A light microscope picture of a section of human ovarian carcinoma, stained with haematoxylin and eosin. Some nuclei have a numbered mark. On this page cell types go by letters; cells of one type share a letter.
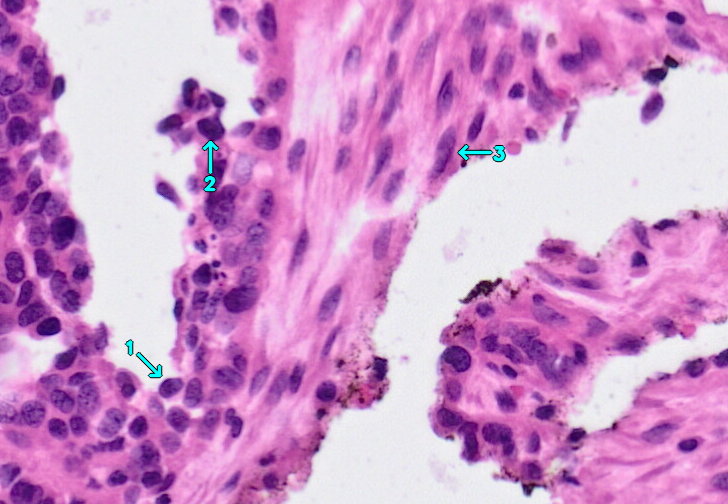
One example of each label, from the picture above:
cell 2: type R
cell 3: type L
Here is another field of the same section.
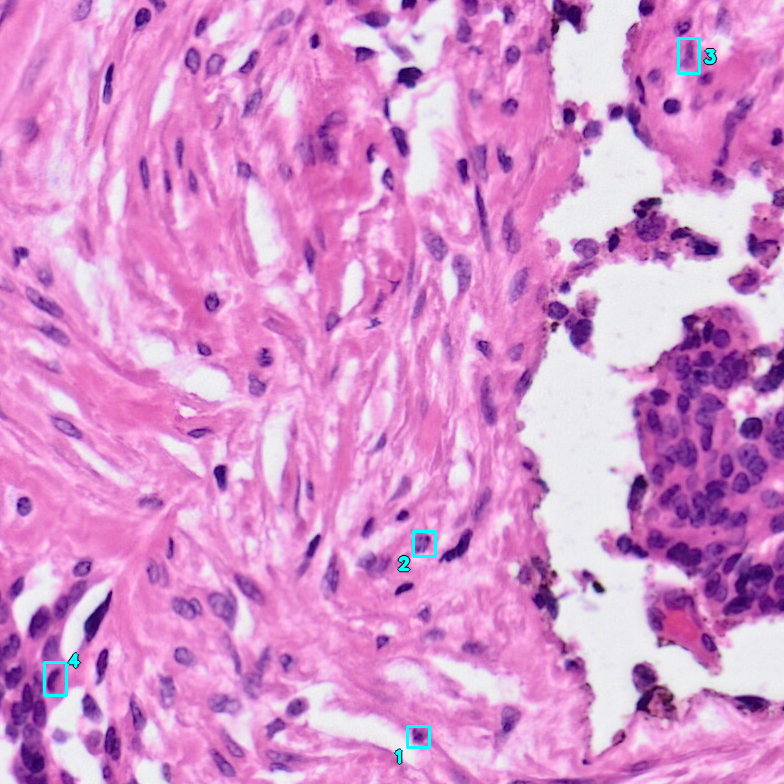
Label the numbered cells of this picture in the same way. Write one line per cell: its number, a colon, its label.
1: type L
2: type L
3: type L
4: type R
